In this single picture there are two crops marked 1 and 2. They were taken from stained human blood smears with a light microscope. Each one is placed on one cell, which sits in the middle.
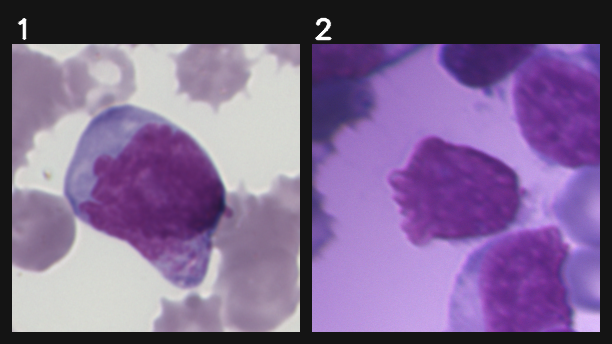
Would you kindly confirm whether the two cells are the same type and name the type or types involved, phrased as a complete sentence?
No, crop 1 and crop 2 contain, respectively, a myeloblast and a smudge cell.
